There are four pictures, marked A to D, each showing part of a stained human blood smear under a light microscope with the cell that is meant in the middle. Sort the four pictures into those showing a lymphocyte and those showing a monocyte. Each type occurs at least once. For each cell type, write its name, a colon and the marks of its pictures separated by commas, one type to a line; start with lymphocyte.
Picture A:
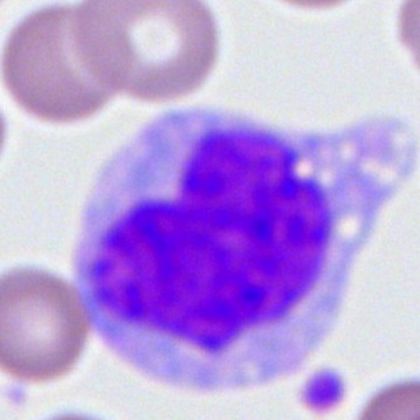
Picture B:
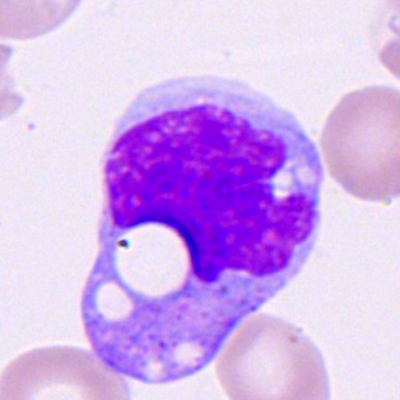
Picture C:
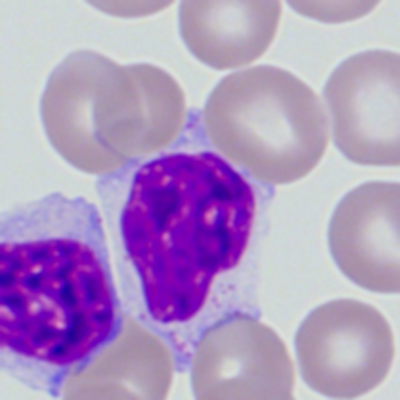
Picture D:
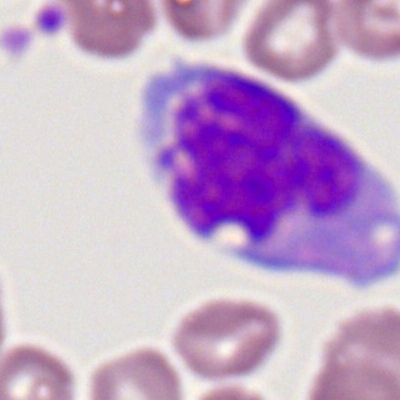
lymphocyte: C
monocyte: A, B, D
